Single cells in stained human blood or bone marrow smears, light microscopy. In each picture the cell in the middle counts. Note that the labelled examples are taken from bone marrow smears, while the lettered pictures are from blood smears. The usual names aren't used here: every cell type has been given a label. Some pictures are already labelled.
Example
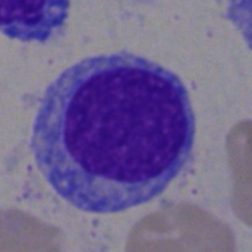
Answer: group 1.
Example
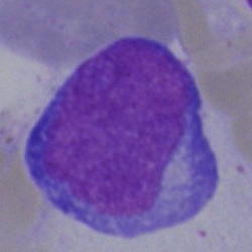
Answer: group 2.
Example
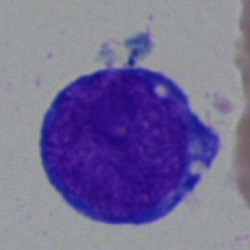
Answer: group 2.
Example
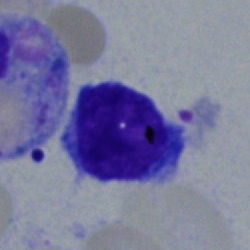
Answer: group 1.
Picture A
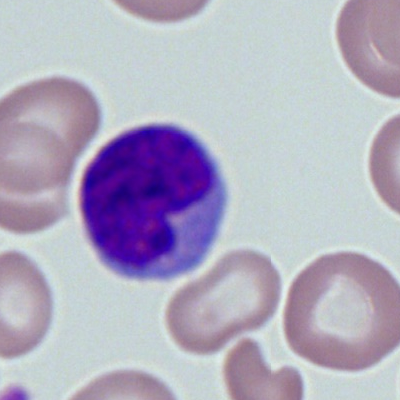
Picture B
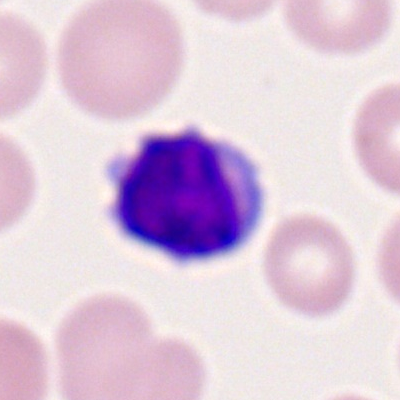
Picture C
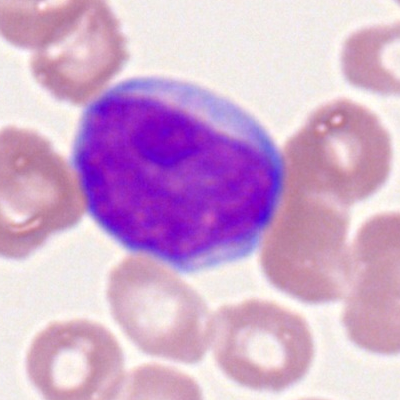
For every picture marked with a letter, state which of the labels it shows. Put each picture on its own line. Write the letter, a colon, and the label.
A: group 1.
B: group 1.
C: group 2.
